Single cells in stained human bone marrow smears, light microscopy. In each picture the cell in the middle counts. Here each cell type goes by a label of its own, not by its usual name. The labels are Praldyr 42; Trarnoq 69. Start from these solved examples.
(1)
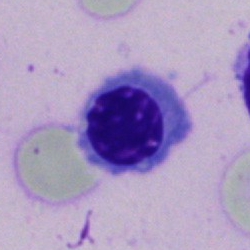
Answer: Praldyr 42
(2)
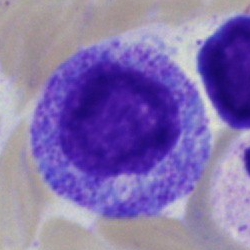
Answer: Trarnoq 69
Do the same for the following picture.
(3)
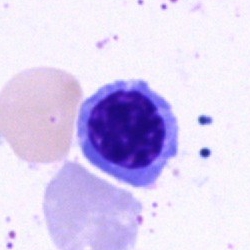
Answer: Praldyr 42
